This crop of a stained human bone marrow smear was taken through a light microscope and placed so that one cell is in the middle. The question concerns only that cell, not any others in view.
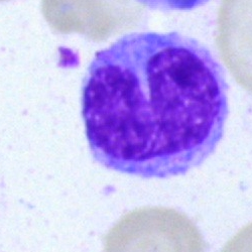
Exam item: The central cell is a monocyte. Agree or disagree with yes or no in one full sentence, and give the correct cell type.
Yes, the cell at the midpoint of the crop is a monocyte.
